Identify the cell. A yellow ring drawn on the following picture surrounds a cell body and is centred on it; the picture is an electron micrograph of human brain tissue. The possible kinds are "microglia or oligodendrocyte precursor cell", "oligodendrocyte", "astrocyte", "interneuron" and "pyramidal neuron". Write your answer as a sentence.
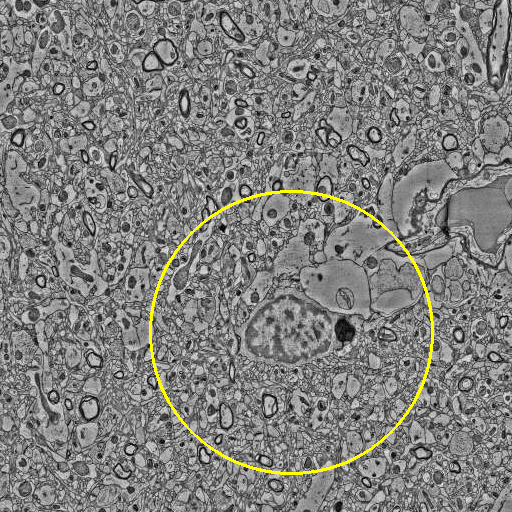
The cell identified by the ring is an oligodendrocyte.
